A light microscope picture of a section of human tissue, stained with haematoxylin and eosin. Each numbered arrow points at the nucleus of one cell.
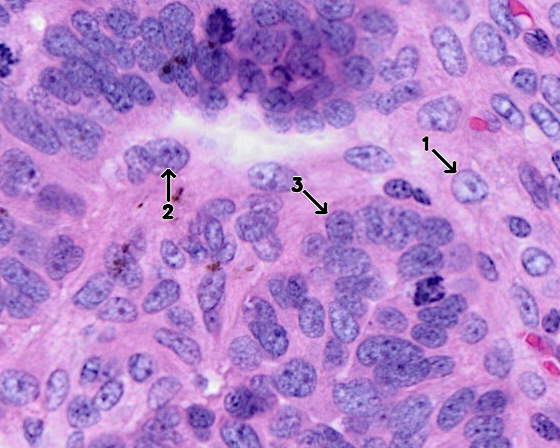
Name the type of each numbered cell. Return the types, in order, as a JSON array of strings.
["fibroblast", "fibroblast", "carcinoma cell"]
